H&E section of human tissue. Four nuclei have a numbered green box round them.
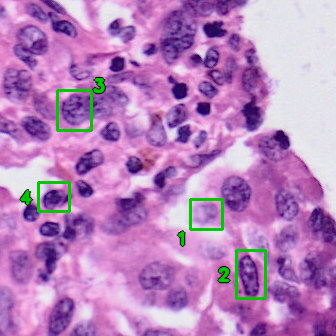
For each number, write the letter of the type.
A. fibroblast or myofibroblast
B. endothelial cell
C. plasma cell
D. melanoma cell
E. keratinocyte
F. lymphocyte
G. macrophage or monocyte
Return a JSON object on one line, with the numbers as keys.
{"1": "D", "2": "D", "3": "D", "4": "F"}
